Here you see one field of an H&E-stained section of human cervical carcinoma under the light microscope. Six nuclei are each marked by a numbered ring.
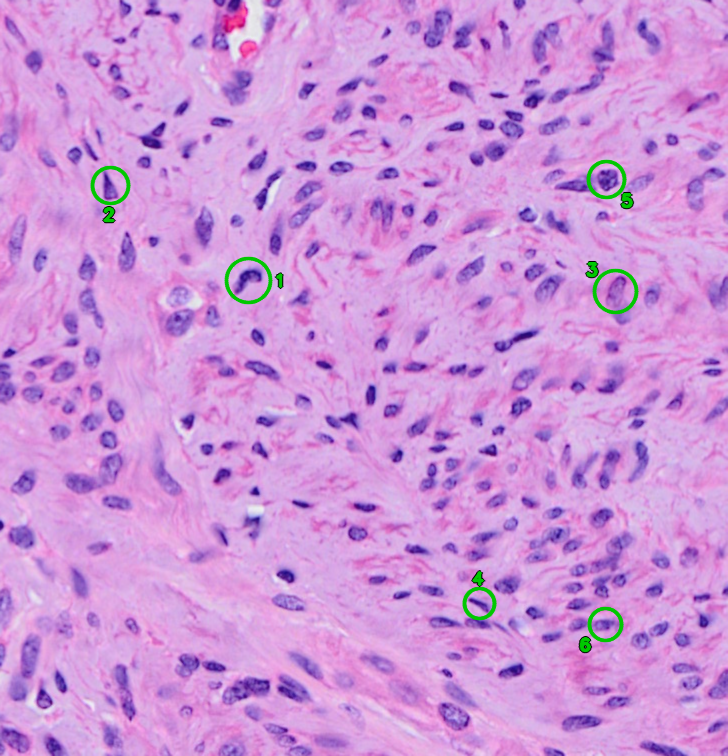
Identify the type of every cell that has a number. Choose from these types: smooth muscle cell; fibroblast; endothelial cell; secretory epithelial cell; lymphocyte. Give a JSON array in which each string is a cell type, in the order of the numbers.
["fibroblast", "fibroblast", "smooth muscle cell", "fibroblast", "lymphocyte", "smooth muscle cell"]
